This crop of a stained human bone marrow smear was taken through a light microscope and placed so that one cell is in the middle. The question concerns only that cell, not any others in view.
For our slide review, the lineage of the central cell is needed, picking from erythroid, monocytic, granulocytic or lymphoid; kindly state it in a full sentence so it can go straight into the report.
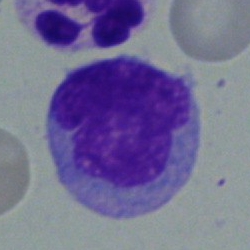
It is the monocytic lineage to which the central cell belongs.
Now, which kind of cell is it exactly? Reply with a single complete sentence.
The centrally positioned cell in the crop represents a monocyte.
